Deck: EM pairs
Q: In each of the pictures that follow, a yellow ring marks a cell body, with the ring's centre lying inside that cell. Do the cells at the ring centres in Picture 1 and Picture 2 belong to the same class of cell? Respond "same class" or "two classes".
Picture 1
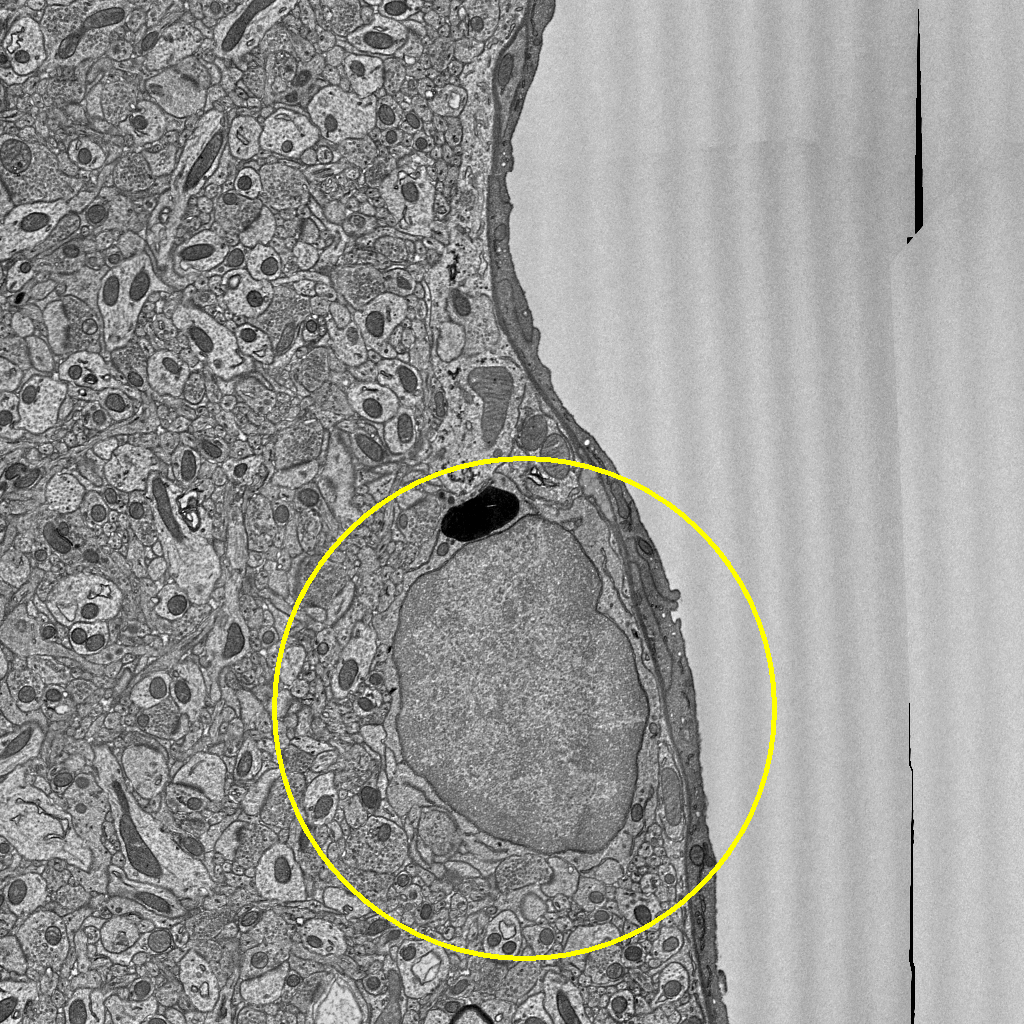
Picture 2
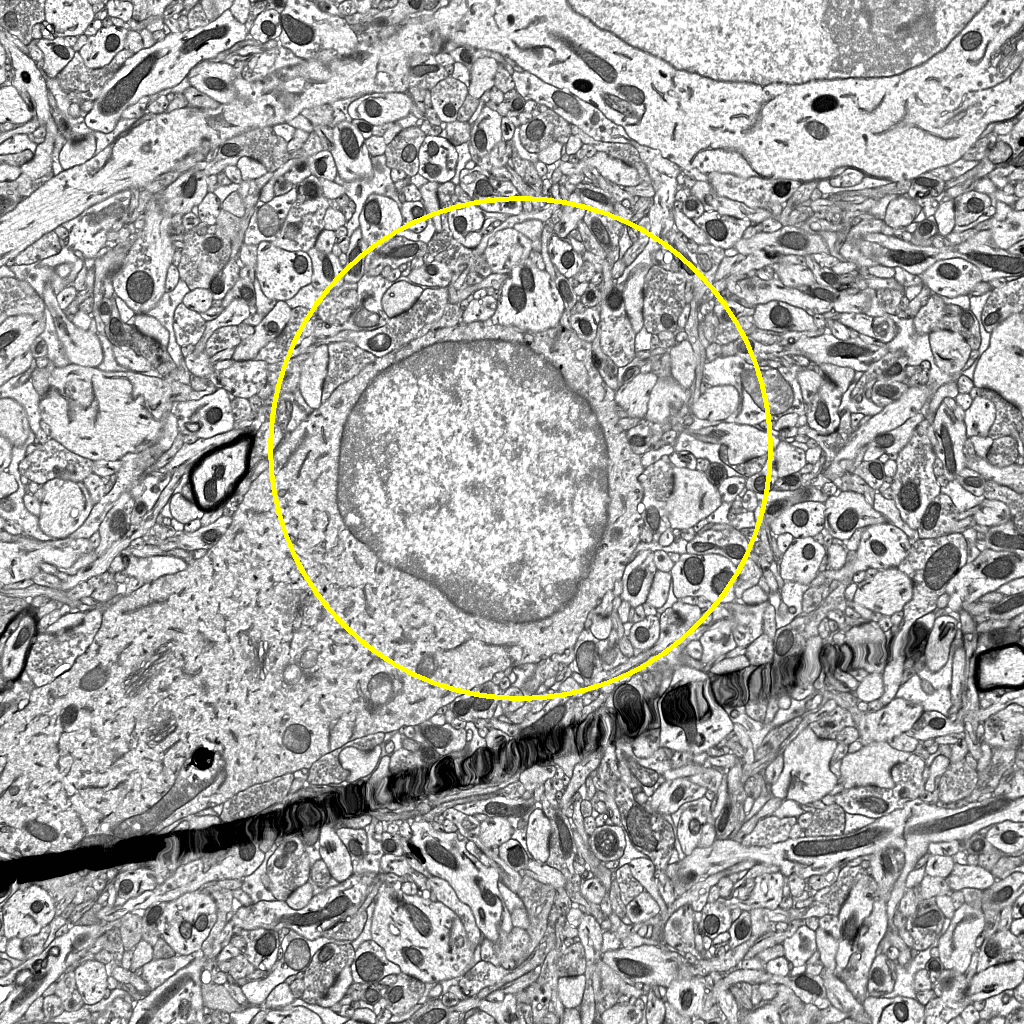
two classes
